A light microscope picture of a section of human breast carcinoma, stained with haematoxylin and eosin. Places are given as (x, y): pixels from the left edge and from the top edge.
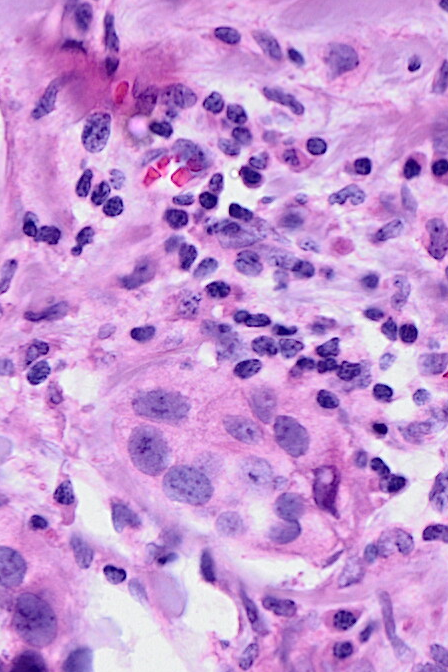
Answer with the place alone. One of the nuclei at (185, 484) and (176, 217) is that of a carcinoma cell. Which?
(185, 484)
